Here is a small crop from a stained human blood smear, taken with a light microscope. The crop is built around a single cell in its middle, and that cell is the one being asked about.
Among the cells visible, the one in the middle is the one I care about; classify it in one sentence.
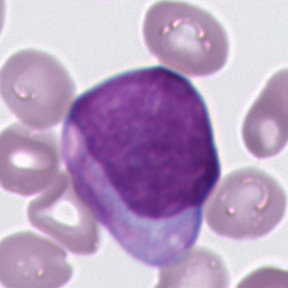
The cell of interest, in the center, is an atypical promyelocyte.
